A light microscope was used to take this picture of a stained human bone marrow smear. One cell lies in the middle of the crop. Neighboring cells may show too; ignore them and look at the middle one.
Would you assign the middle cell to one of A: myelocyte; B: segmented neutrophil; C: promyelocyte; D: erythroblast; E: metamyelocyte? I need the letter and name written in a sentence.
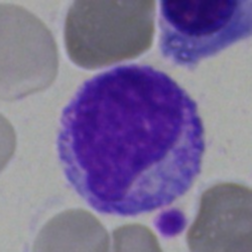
Option A is right in identifying the central cell as a myelocyte.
